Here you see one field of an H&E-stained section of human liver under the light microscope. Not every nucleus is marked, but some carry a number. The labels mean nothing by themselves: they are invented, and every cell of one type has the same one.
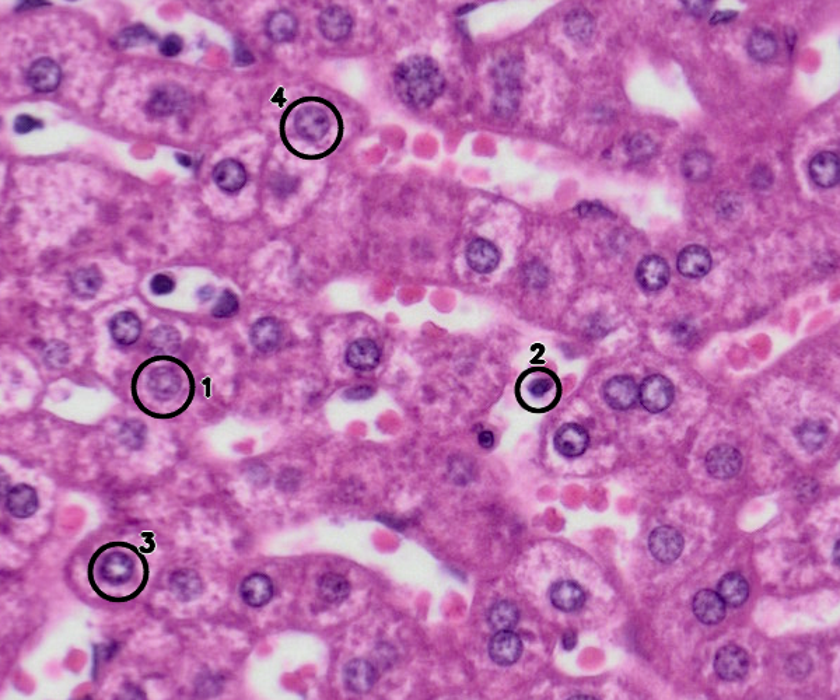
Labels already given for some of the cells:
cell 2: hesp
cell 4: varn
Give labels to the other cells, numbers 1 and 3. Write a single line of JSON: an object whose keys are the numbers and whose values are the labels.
{"1": "varn", "3": "varn"}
